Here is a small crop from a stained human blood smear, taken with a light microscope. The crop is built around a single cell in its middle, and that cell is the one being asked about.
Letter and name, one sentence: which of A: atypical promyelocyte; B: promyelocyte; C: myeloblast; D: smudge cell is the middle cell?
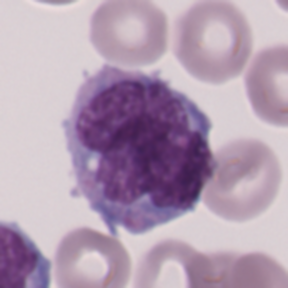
The cell shown centrally is an atypical promyelocyte; option A is the correct option.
